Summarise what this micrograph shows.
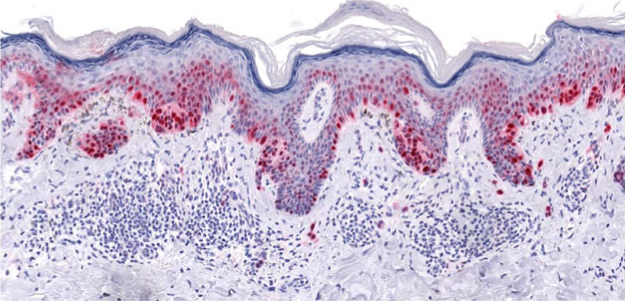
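The strongest red lies in clusters of cells along the base of the epidermis and in the nests at the tips of the rete ridges. In the upper dermis a dense band of blue-nuclei inflammatory cells is almost free of red. Scattered brown pigment granules are seen near the junction.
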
